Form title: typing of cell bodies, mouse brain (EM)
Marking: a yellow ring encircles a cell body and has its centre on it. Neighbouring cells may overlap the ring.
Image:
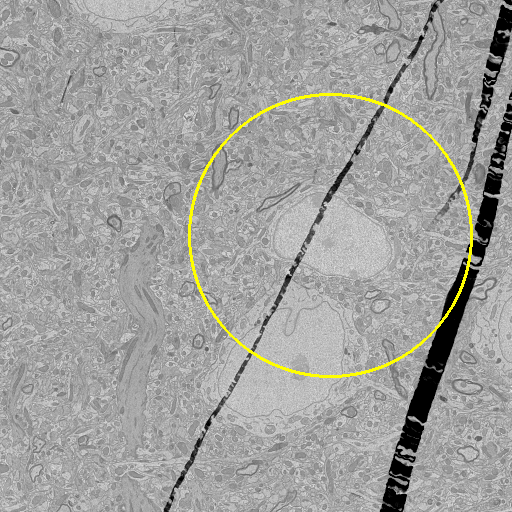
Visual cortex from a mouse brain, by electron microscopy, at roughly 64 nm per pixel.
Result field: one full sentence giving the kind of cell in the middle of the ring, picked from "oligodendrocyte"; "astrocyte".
In the picture, the ring is centred on an astrocyte, whose cell body it encircles.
